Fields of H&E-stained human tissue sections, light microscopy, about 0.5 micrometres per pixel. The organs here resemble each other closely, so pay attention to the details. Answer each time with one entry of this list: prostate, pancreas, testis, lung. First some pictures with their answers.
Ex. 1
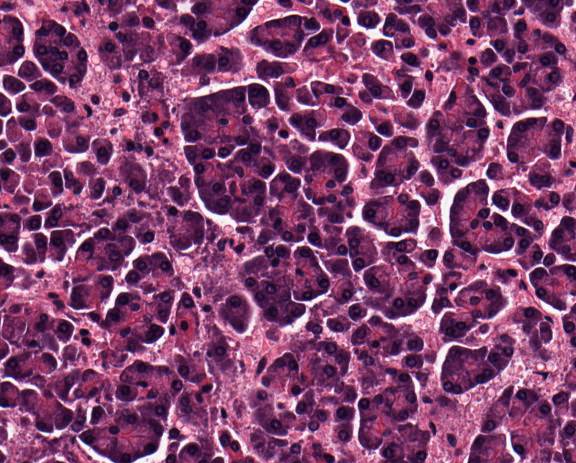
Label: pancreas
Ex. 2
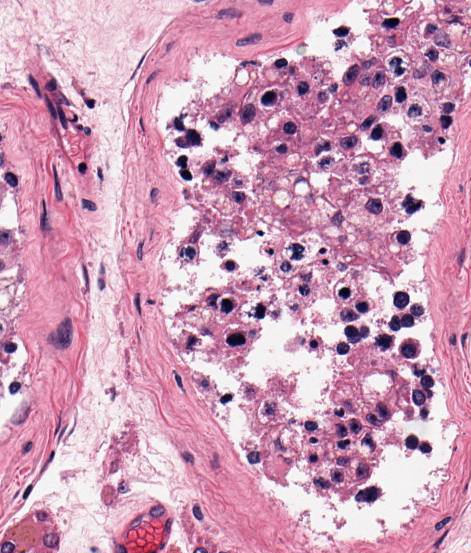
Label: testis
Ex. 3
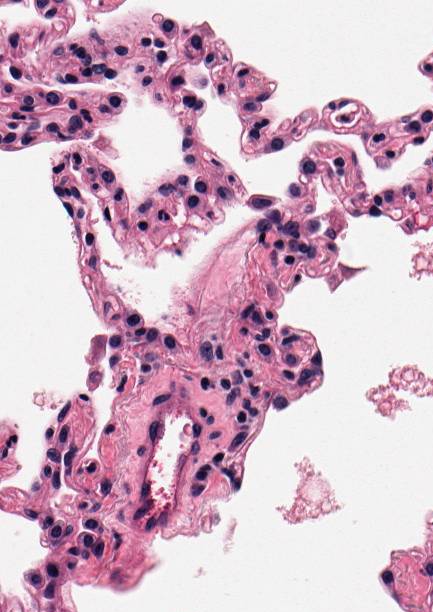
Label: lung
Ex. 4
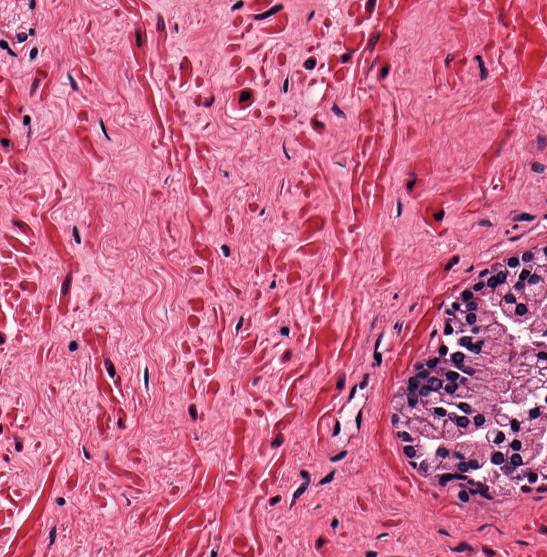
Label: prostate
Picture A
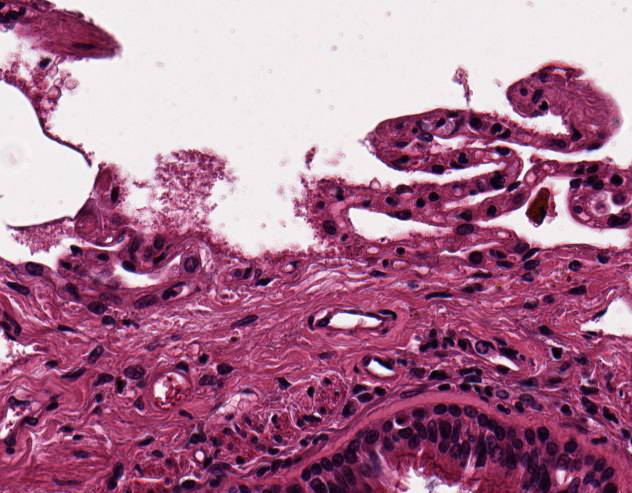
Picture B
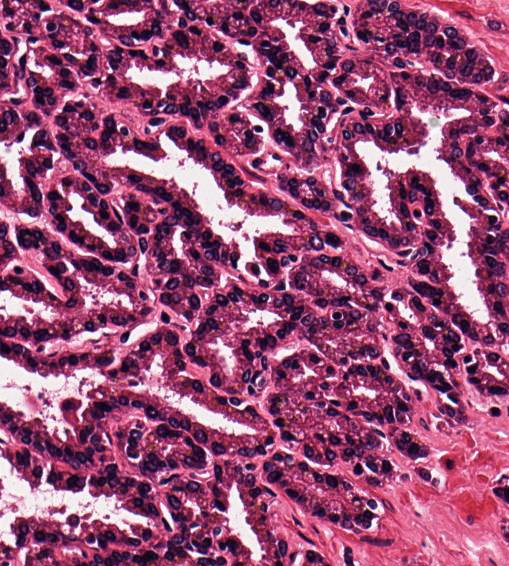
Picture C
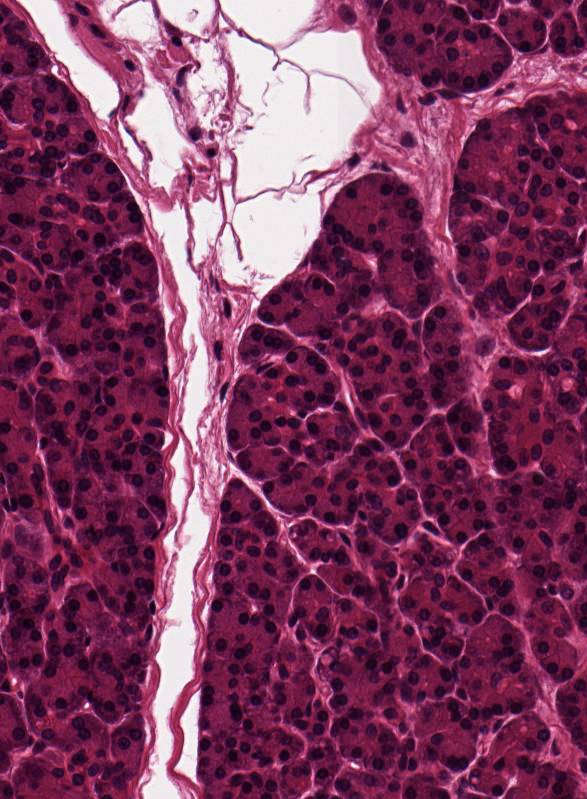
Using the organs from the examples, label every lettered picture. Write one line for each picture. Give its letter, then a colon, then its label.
A: lung
B: prostate
C: pancreas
